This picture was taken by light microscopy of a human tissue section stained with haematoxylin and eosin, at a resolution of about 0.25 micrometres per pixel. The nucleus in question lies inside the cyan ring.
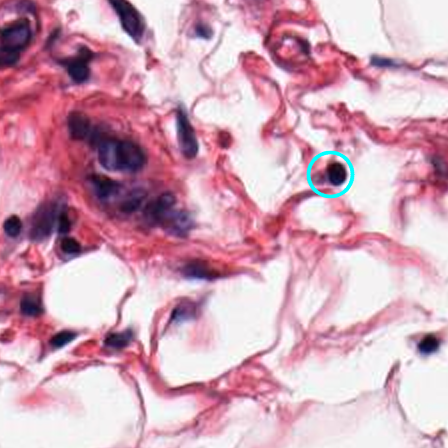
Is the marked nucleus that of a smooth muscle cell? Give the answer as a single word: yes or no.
no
